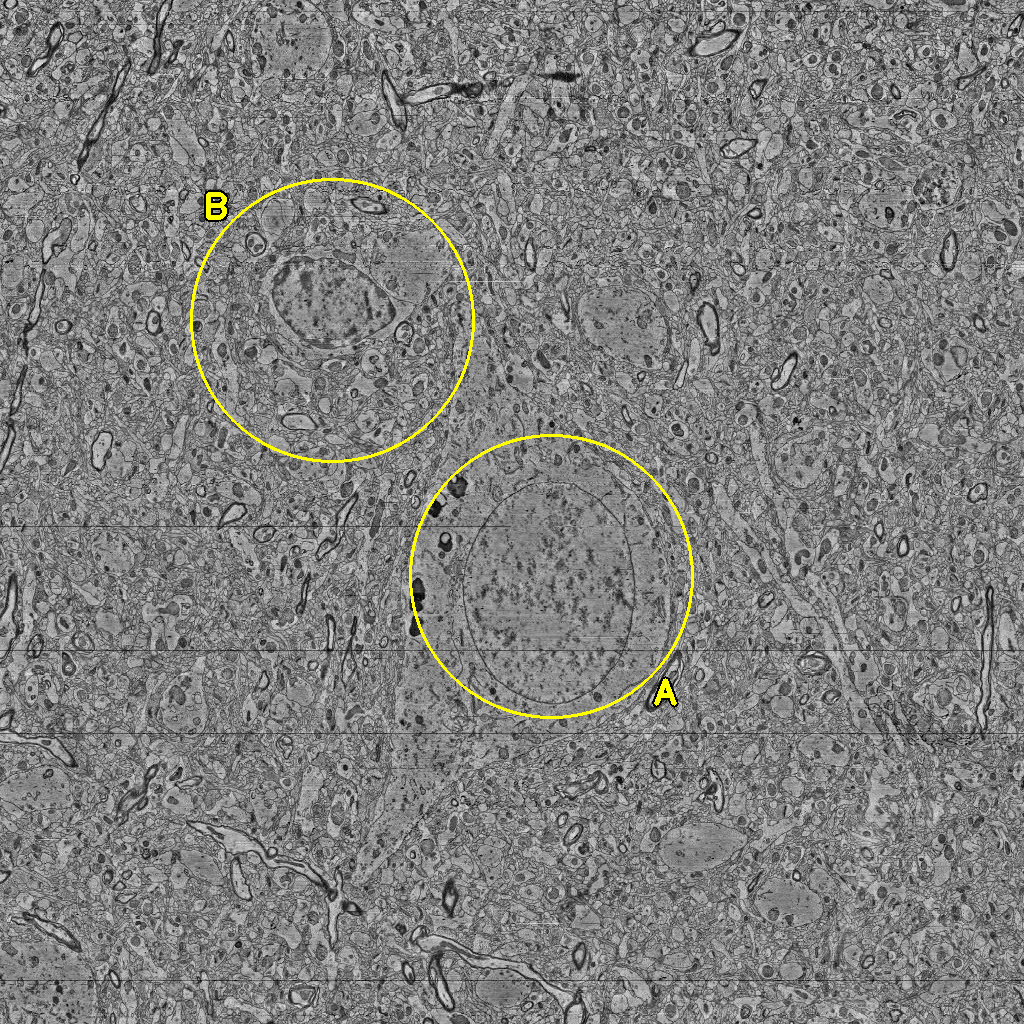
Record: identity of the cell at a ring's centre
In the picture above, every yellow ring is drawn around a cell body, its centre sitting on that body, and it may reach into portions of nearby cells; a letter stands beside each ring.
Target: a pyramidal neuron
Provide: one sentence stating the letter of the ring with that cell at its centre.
The letter of the ring centred on a cell of that kind is A.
